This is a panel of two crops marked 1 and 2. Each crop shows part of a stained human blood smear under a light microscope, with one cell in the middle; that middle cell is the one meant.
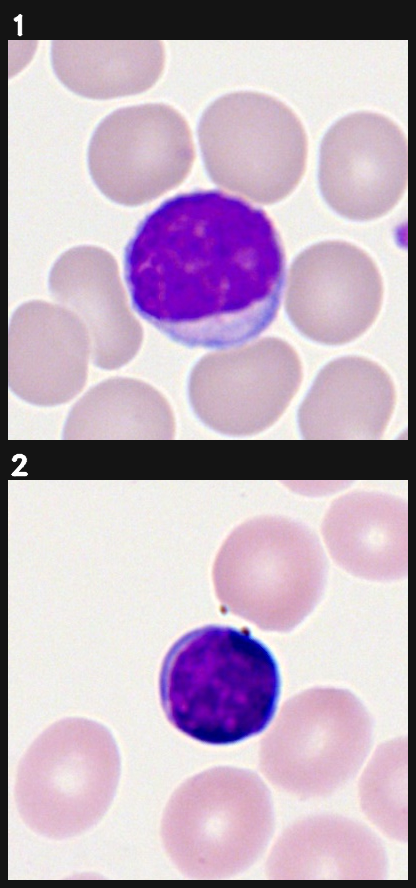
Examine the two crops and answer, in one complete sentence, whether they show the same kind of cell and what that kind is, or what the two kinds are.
Yes, in both crops the centred cells are lymphocytes.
